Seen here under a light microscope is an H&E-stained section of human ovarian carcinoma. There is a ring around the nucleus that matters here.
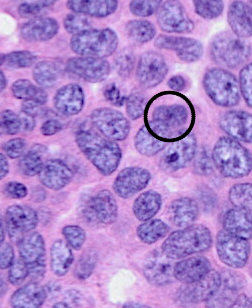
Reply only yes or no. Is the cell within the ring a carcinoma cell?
yes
